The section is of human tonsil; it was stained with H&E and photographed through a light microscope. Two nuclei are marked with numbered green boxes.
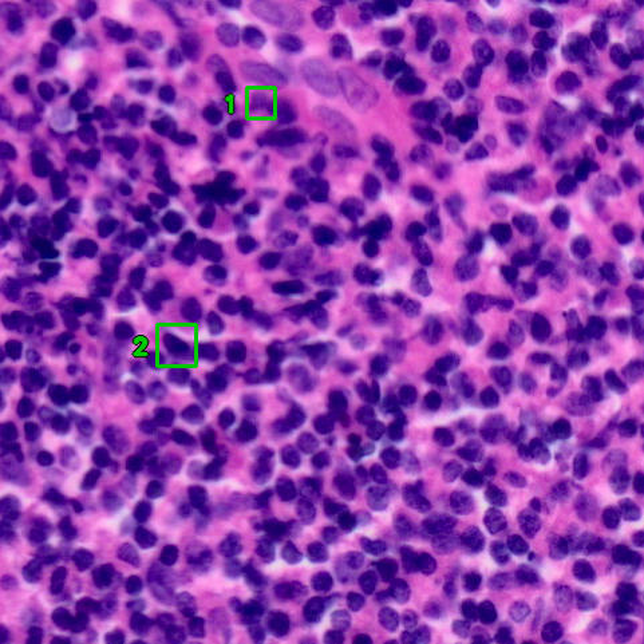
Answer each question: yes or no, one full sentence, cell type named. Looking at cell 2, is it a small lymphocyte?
Yes, the cell sitting at number 2 is a small lymphocyte.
